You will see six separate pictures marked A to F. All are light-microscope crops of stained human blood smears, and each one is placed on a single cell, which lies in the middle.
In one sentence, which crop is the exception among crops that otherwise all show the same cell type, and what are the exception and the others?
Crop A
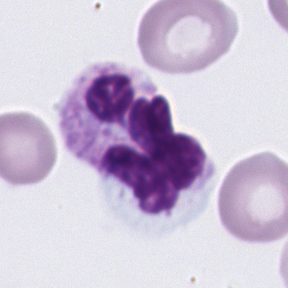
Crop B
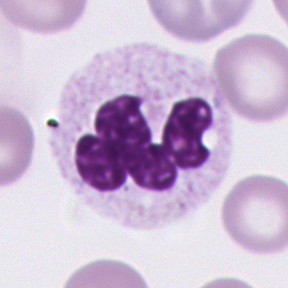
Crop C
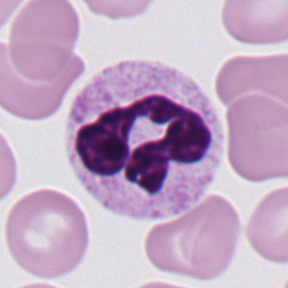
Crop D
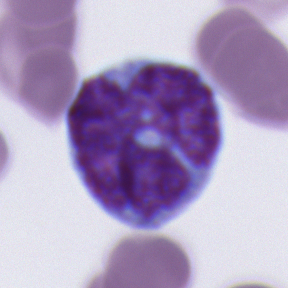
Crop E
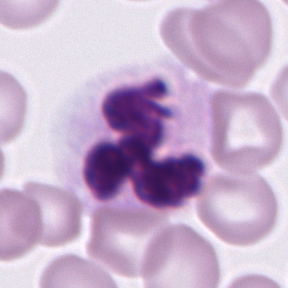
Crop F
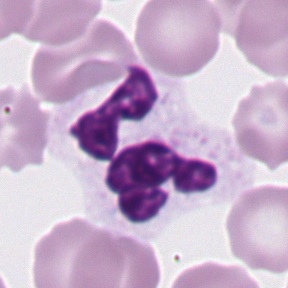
Crop D differs, its cell being a monocyte, whereas the other crops show segmented neutrophils.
